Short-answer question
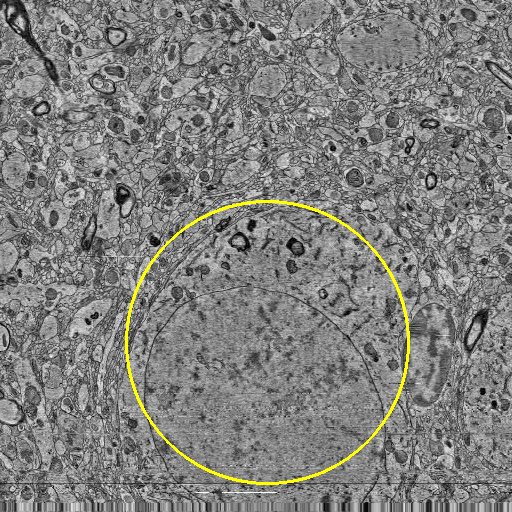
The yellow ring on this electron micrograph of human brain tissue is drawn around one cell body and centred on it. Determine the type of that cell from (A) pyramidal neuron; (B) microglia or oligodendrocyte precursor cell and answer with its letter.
A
